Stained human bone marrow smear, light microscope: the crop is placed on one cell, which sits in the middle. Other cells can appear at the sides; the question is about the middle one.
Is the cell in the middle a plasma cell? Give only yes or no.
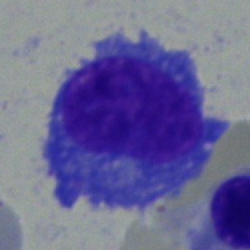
yes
